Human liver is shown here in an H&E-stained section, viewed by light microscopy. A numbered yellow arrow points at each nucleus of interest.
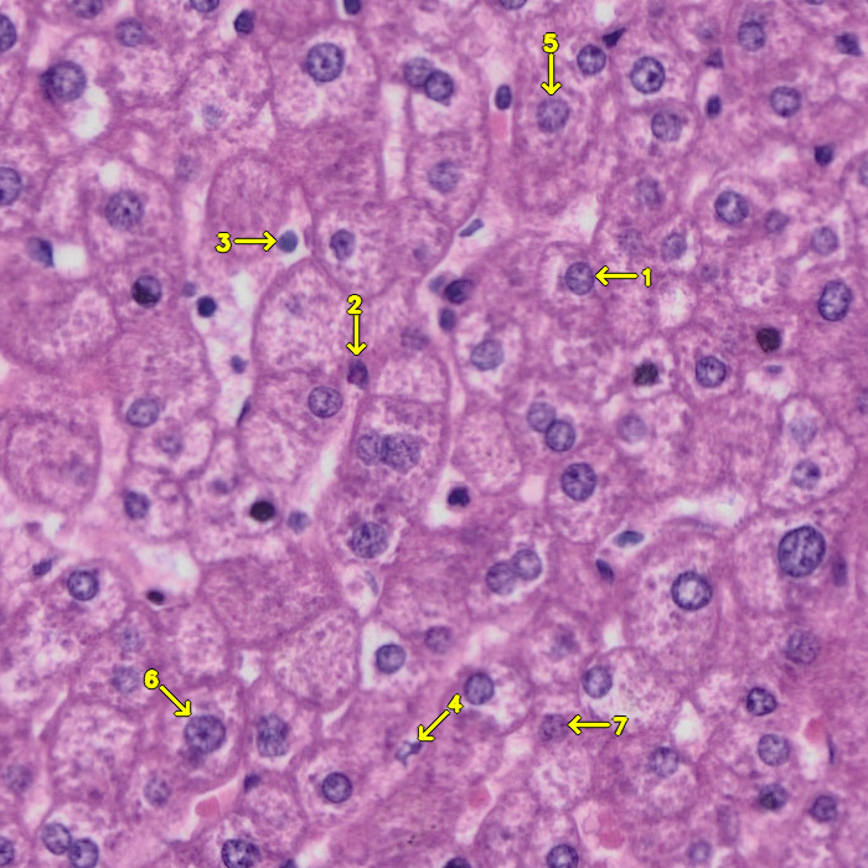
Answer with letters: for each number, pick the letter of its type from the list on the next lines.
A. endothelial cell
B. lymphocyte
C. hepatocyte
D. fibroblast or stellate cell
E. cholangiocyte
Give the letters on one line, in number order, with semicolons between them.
C; A; B; A; C; C; C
